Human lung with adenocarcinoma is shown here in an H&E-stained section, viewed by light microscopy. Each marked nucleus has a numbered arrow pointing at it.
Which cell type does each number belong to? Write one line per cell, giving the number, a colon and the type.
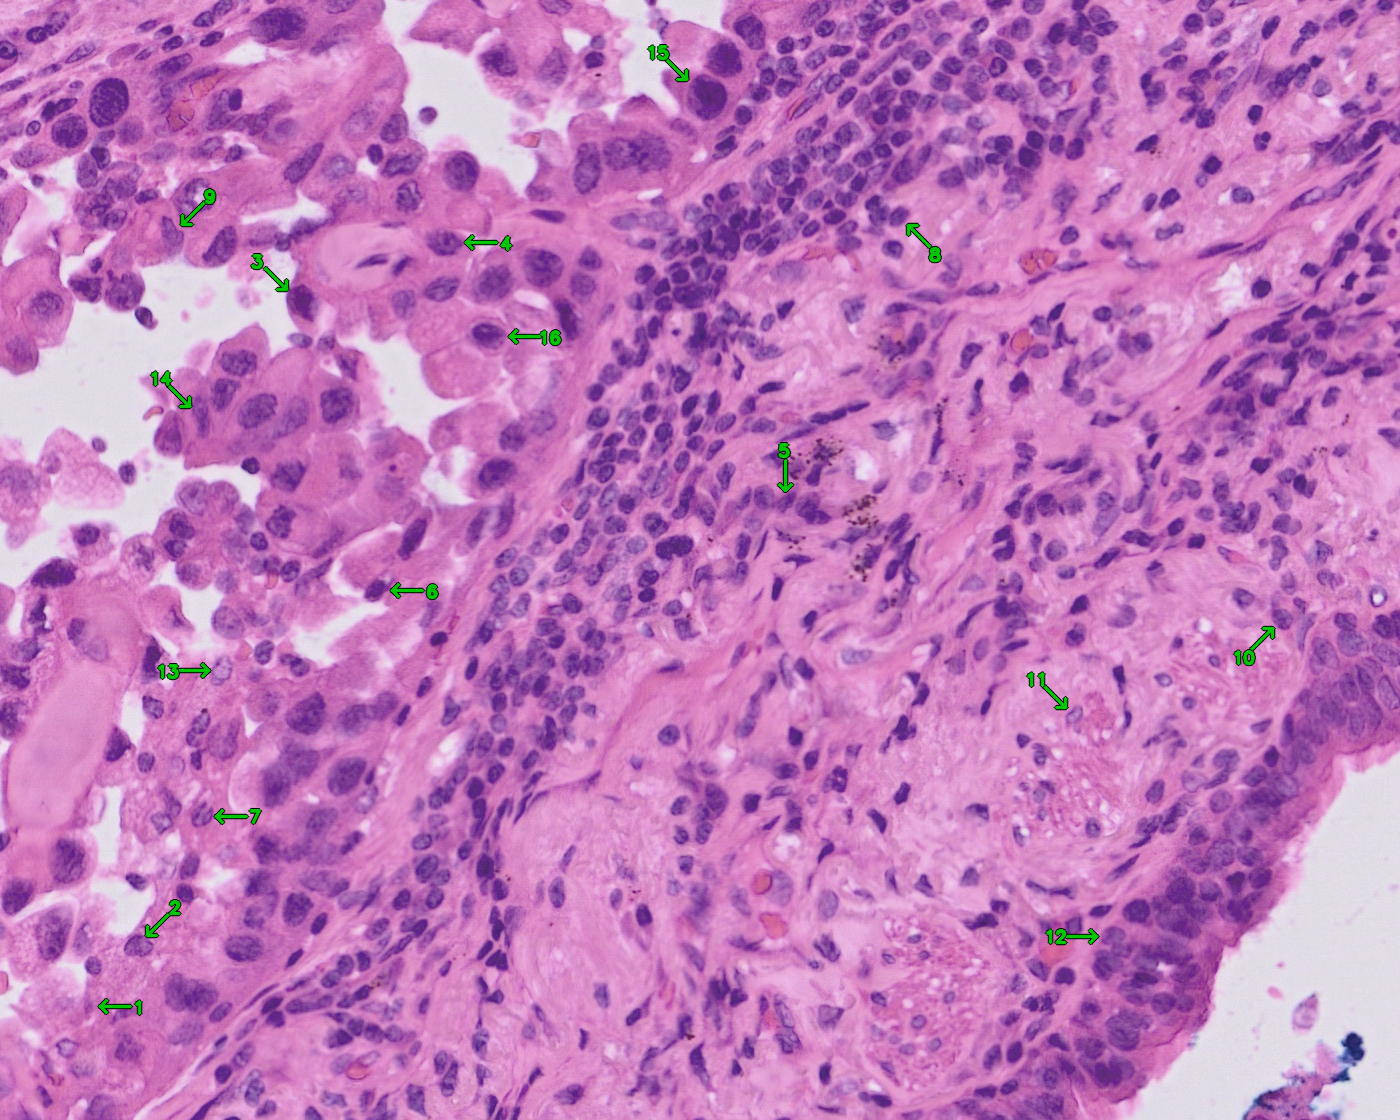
1: macrophage or monocyte
2: macrophage or monocyte
3: carcinoma cell
4: carcinoma cell
5: plasma cell
6: carcinoma cell
7: macrophage or monocyte
8: lymphocyte
9: carcinoma cell
10: mast cell
11: smooth muscle cell or pericyte
12: ciliated epithelial cell
13: macrophage or monocyte
14: carcinoma cell
15: carcinoma cell
16: carcinoma cell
